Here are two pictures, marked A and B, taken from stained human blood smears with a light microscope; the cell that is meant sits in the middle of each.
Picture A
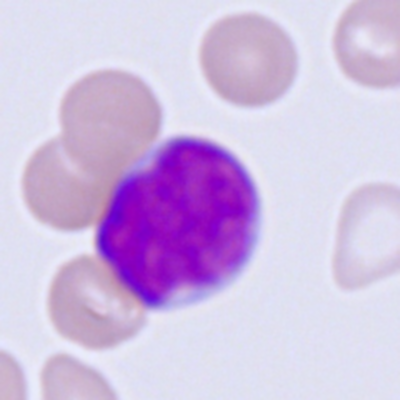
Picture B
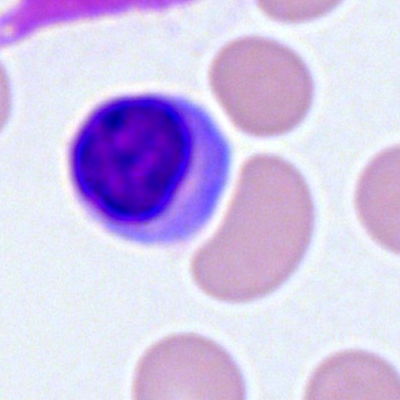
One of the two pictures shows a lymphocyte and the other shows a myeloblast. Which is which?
A: myeloblast
B: lymphocyte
